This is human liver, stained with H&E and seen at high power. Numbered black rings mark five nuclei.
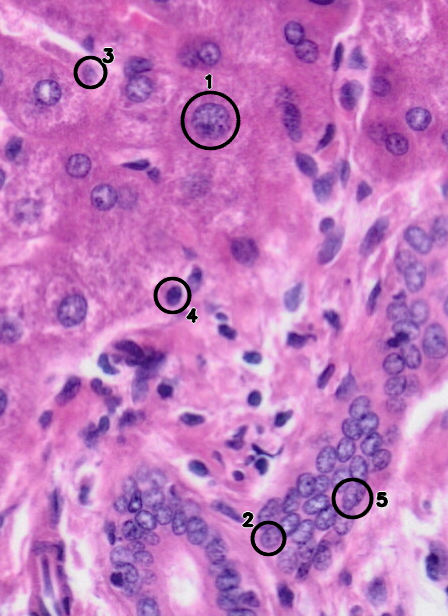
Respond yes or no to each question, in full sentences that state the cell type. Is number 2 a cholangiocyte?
Yes, the cell that goes by number 2 is a cholangiocyte.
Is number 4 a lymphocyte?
Yes, the cell whose number is 4 is a lymphocyte.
